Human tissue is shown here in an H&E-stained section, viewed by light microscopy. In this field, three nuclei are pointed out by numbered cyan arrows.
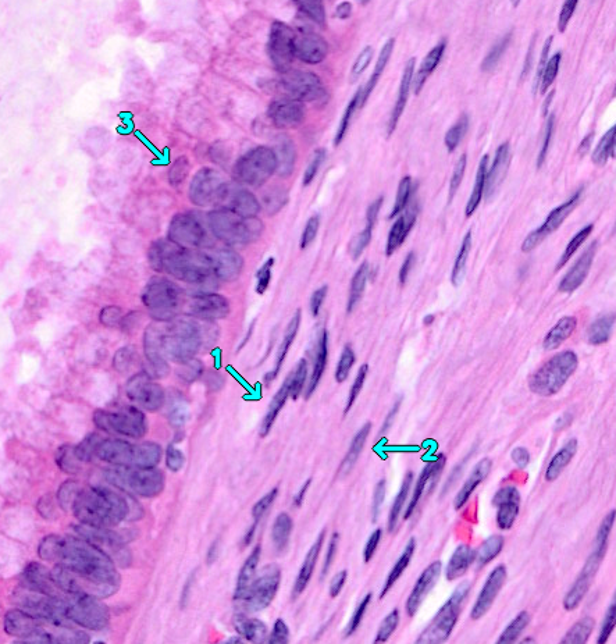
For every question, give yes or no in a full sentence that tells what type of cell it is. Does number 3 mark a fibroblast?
No, number 3 identifies a secretory epithelial cell, not a fibroblast.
